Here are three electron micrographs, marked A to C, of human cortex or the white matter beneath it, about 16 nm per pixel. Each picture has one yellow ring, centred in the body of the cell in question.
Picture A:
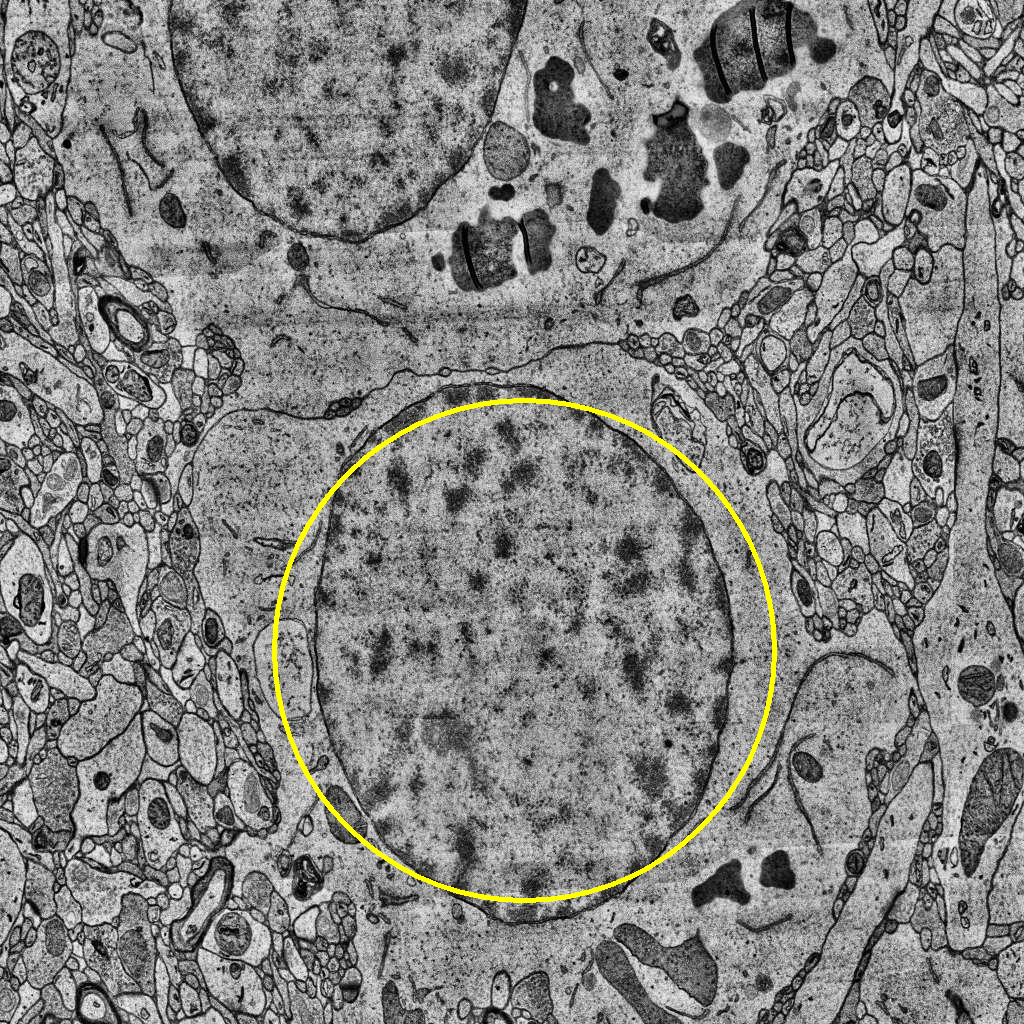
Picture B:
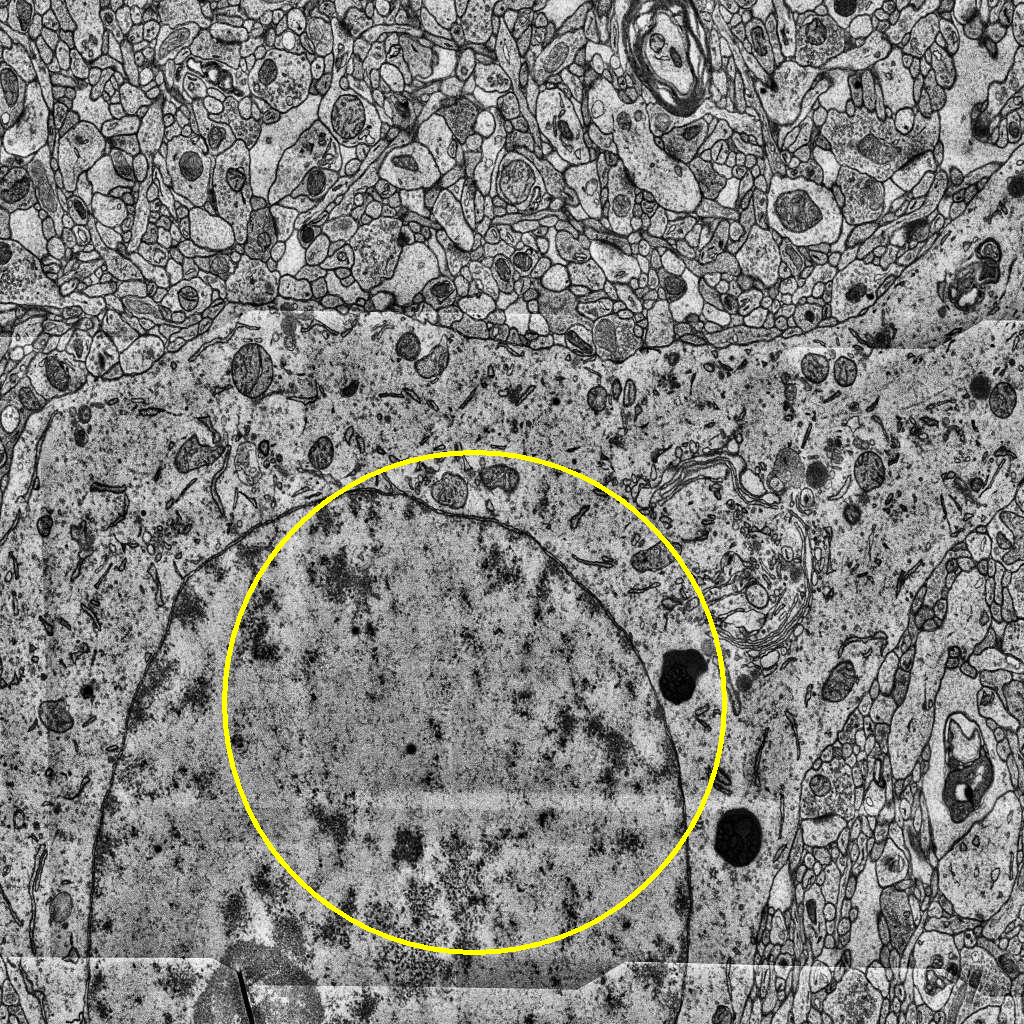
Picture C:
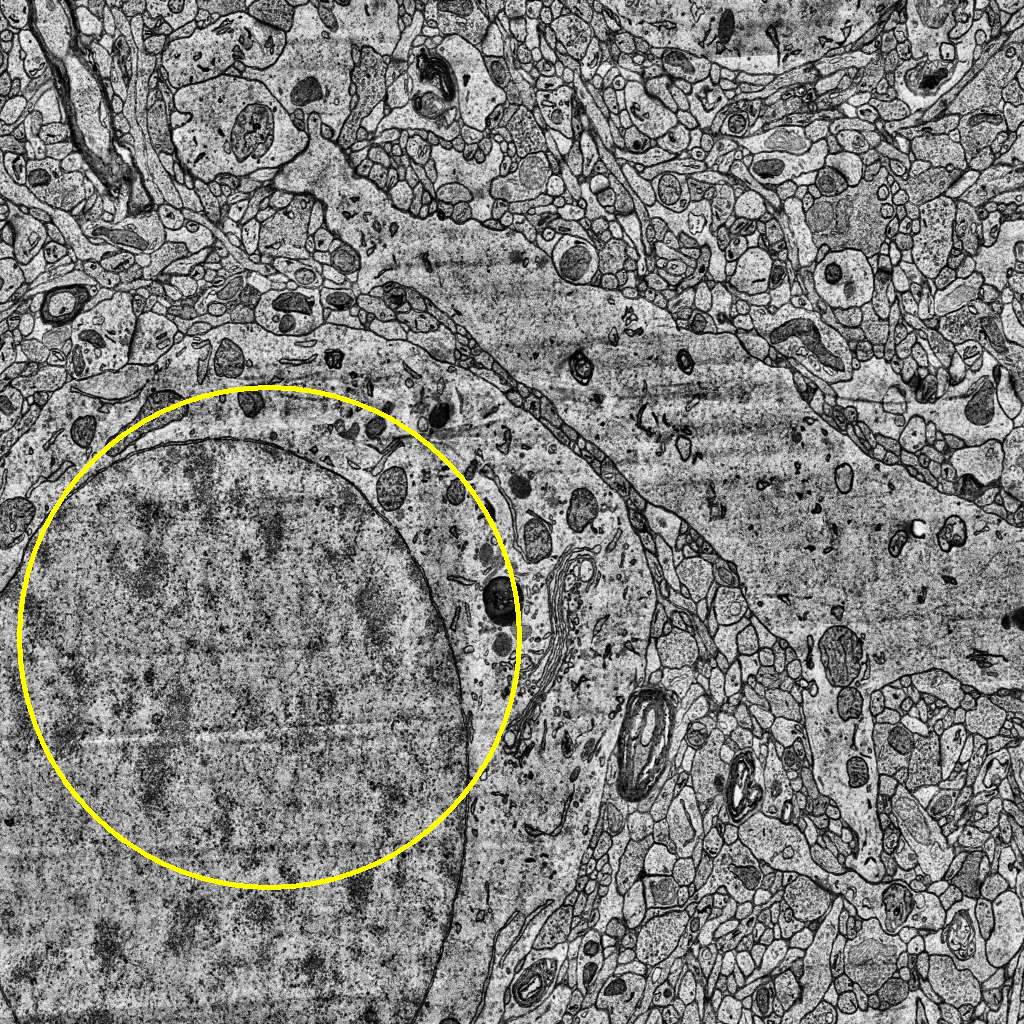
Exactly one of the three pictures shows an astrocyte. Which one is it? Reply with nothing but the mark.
A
